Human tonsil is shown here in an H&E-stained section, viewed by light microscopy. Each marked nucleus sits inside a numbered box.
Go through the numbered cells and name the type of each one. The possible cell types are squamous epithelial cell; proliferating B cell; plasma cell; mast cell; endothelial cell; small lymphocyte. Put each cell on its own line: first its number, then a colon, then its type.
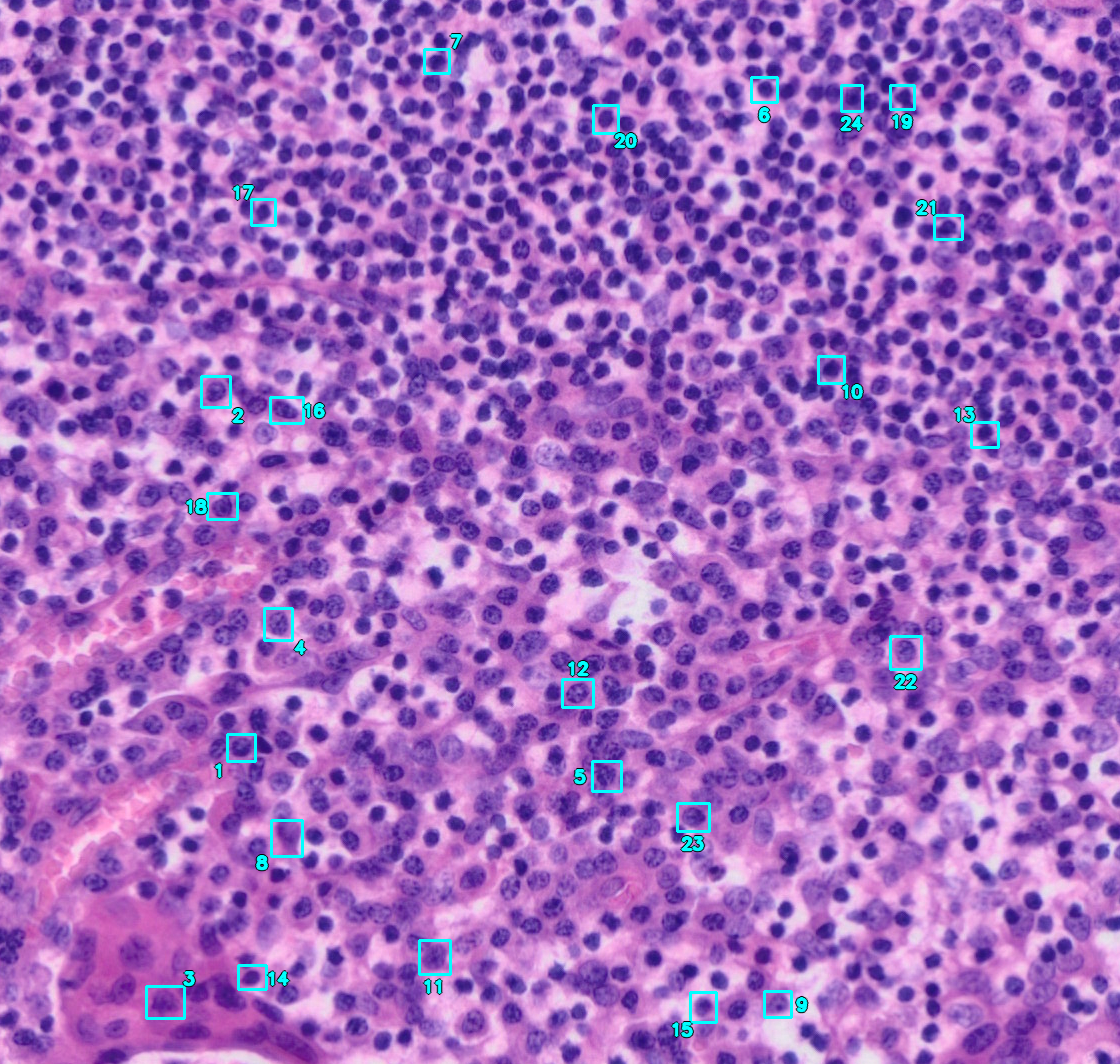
1: plasma cell
2: plasma cell
3: squamous epithelial cell
4: plasma cell
5: plasma cell
6: small lymphocyte
7: small lymphocyte
8: squamous epithelial cell
9: plasma cell
10: small lymphocyte
11: squamous epithelial cell
12: plasma cell
13: small lymphocyte
14: squamous epithelial cell
15: plasma cell
16: plasma cell
17: small lymphocyte
18: plasma cell
19: small lymphocyte
20: small lymphocyte
21: small lymphocyte
22: plasma cell
23: plasma cell
24: small lymphocyte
